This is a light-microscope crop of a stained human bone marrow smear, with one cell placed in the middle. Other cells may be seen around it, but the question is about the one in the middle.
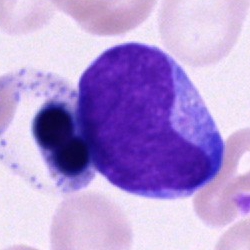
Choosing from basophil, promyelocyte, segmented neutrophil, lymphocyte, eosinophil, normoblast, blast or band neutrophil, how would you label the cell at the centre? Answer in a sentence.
Seen at the centre of the crop is a blast.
